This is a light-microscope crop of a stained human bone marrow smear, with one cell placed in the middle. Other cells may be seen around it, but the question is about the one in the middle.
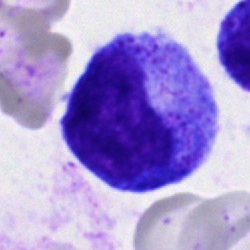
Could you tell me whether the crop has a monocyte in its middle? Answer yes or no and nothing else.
no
